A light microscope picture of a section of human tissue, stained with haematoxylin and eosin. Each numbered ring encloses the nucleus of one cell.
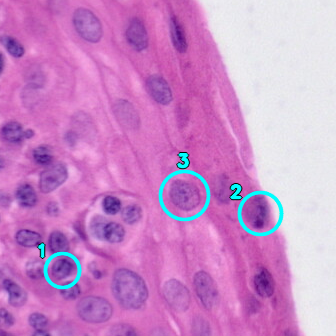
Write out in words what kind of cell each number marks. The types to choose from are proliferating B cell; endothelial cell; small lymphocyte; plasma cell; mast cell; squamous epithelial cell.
Cell 1 is a plasma cell. Cells 2 and 3 are squamous epithelial cells.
